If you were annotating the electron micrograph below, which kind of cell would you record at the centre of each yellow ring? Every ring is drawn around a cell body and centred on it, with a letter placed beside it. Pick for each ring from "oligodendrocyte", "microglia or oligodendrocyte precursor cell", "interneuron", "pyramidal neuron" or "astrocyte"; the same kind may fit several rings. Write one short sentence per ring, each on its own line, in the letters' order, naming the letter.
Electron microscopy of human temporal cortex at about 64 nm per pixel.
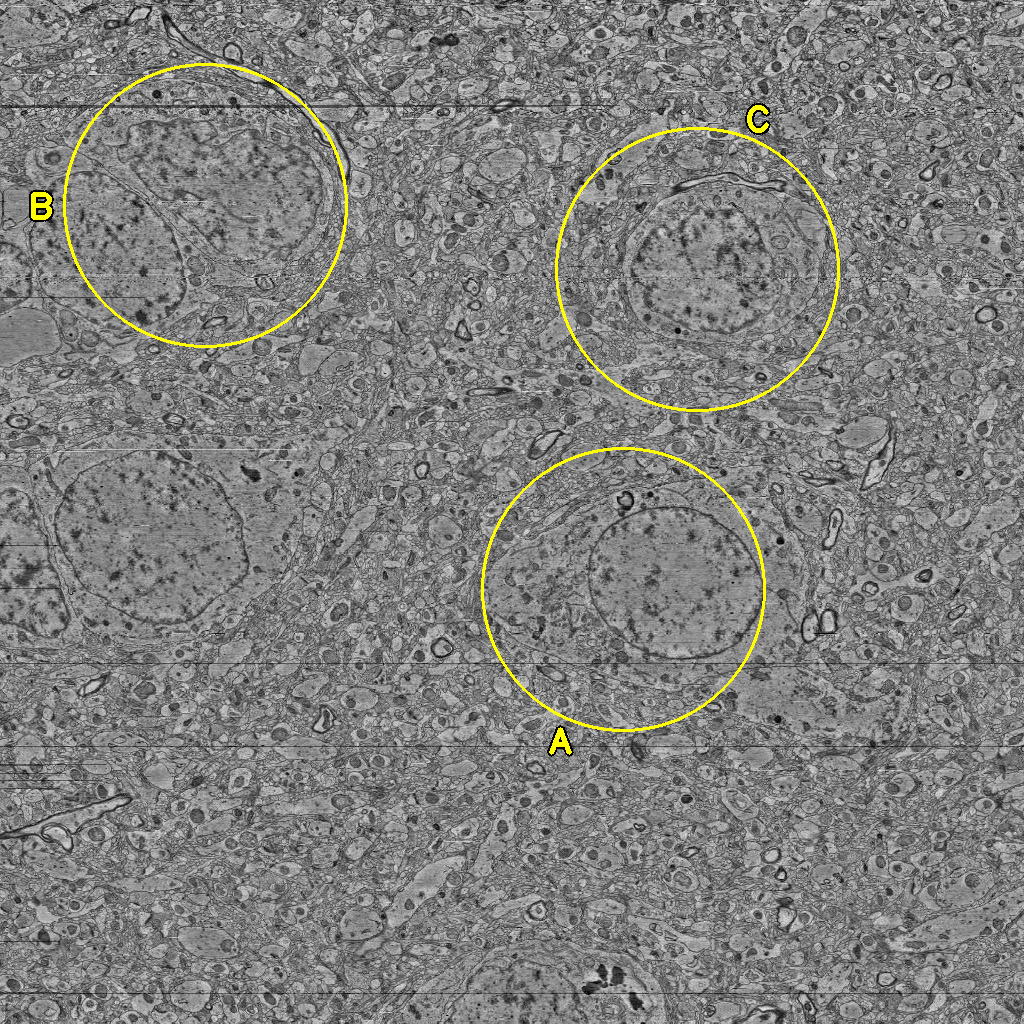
For ring A, I would record a pyramidal neuron.
For ring B, I would record an interneuron.
For ring C, I would record an interneuron.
